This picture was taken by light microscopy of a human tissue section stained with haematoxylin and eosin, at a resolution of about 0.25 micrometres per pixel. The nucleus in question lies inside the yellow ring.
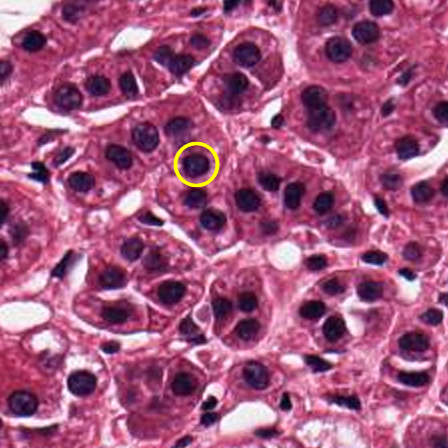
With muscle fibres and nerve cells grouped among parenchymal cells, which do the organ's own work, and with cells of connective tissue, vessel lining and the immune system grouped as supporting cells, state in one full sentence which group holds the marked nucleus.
A parenchymal cell holds the marked nucleus, and that cell is an adrenal cortical cell.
